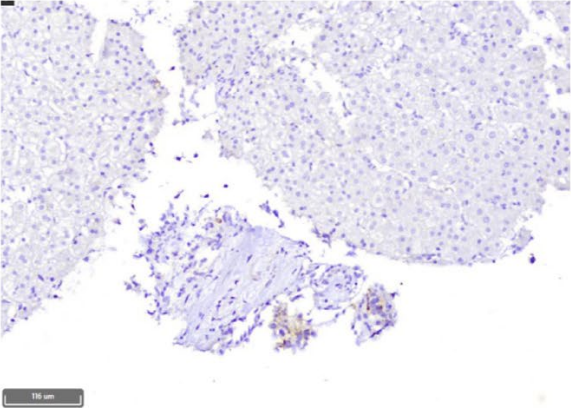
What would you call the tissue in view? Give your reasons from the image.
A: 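Large sheets of polygonal cells with central round nuclei and pale cytoplasm. The polygonal cells are arranged in plates with narrow sinusoid-like spaces between them.
Hence: liver.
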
